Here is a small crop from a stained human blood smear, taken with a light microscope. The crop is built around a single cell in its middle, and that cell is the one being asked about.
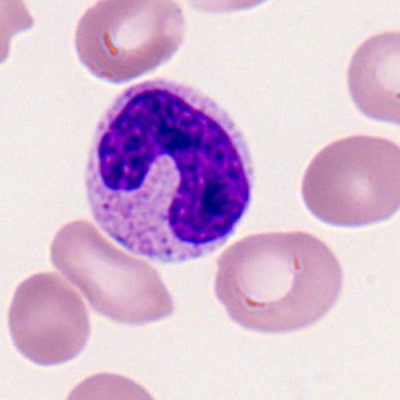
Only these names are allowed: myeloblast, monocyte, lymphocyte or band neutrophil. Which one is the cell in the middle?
band neutrophil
